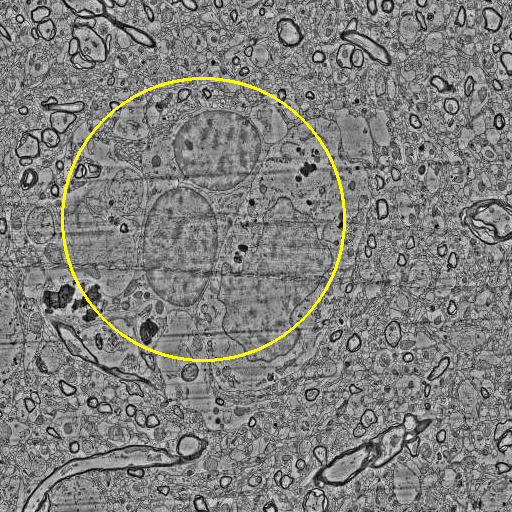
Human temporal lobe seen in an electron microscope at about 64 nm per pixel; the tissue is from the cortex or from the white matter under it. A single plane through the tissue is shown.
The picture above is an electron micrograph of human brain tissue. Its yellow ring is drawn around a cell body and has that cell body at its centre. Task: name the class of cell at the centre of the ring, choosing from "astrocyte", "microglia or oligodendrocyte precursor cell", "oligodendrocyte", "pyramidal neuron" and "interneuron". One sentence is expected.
The ring surrounds the body of an oligodendrocyte.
